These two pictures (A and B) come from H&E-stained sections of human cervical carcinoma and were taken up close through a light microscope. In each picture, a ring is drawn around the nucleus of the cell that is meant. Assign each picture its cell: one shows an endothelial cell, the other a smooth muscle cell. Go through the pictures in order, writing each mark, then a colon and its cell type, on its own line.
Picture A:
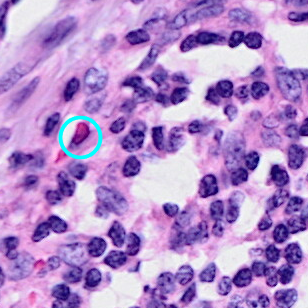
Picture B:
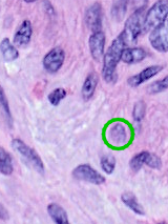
A: endothelial cell
B: smooth muscle cell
